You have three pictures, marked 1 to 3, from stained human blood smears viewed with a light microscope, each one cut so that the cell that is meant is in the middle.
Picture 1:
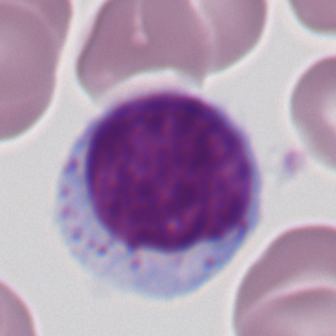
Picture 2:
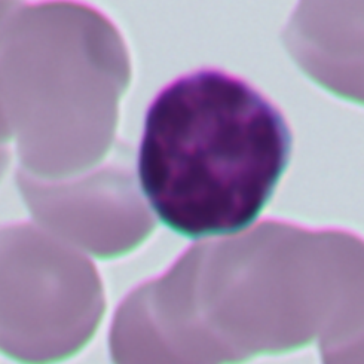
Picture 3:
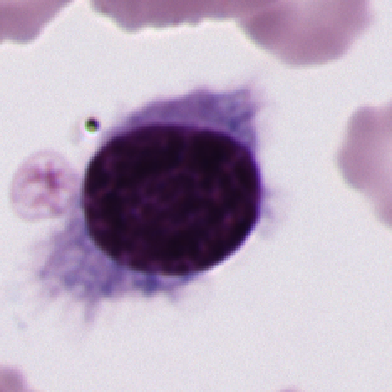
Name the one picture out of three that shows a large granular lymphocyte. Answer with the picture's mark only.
1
